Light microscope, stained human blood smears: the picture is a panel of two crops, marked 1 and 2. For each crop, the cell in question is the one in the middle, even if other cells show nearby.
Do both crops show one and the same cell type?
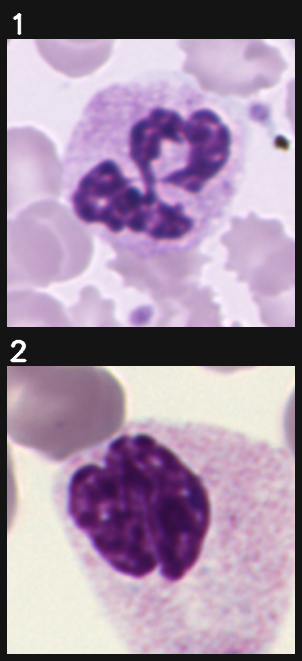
yes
